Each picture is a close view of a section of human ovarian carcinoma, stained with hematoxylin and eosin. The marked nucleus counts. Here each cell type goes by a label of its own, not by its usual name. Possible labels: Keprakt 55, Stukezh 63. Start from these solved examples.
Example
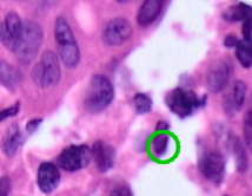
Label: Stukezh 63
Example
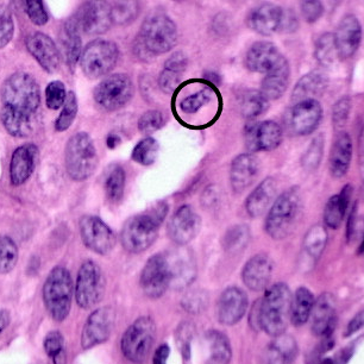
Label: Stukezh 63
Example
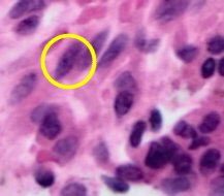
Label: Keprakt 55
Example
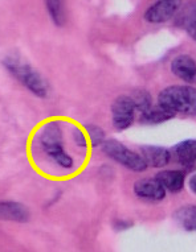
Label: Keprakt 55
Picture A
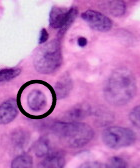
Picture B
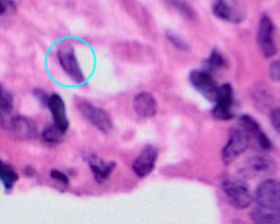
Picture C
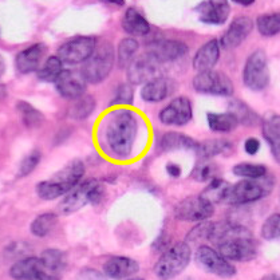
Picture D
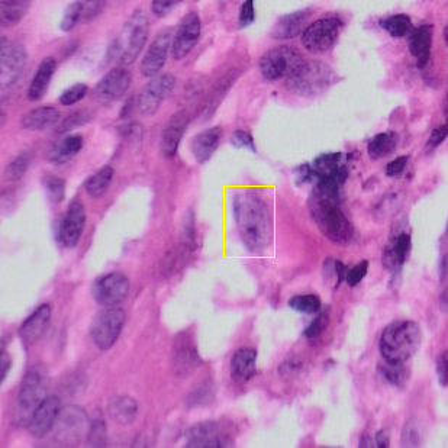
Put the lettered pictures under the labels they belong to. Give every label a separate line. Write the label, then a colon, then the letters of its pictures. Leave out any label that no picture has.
Keprakt 55: B
Stukezh 63: A, C, D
